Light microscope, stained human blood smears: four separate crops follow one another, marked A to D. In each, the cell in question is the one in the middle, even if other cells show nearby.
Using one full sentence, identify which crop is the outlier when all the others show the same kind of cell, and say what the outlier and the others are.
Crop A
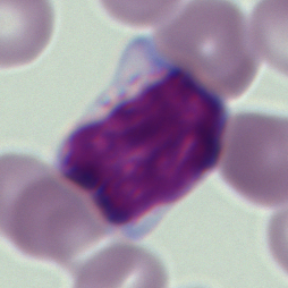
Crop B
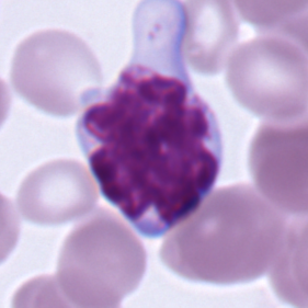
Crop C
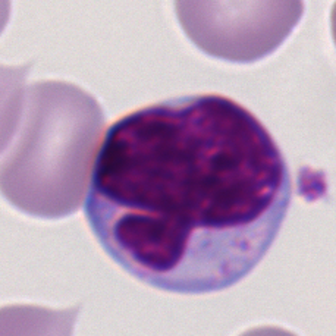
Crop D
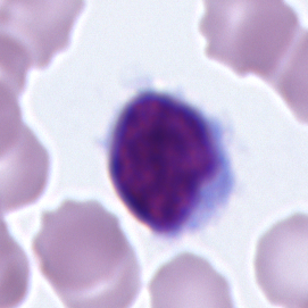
The single exception is crop D, which is a hairy cell; all other crops show large granular lymphocytes.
